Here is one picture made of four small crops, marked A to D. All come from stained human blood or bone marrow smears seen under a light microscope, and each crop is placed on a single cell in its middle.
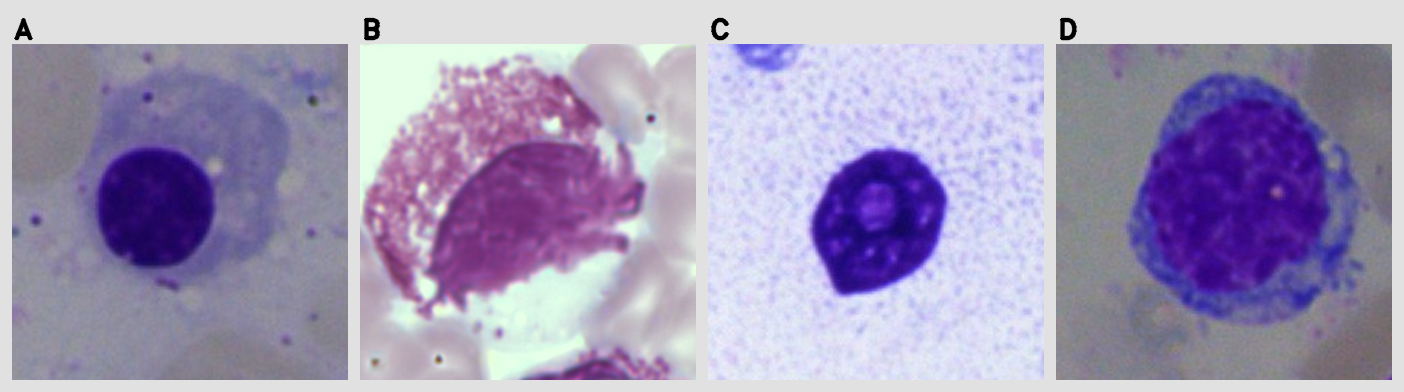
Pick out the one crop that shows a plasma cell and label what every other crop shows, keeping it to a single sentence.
So crop D shows a plasma cell, while crop A is an erythroblast, crop B is an eosinophil and crop C is a lymphocyte.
